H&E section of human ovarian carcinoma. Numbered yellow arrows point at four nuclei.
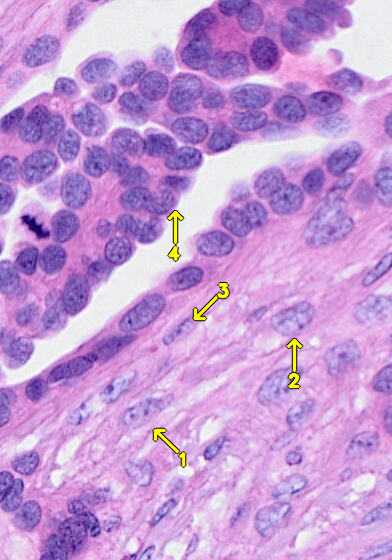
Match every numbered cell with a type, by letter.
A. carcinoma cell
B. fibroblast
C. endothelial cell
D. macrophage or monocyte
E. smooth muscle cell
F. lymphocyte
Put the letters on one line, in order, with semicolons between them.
B; B; B; A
